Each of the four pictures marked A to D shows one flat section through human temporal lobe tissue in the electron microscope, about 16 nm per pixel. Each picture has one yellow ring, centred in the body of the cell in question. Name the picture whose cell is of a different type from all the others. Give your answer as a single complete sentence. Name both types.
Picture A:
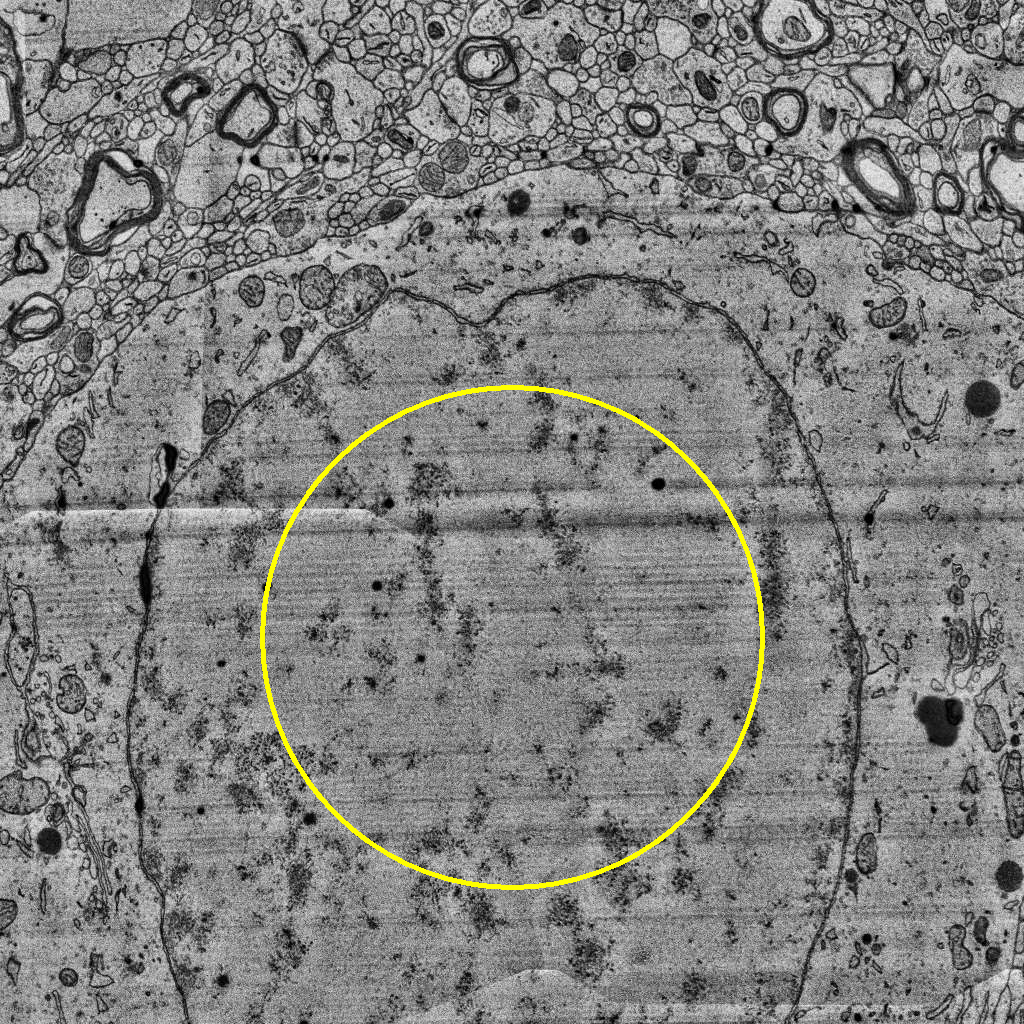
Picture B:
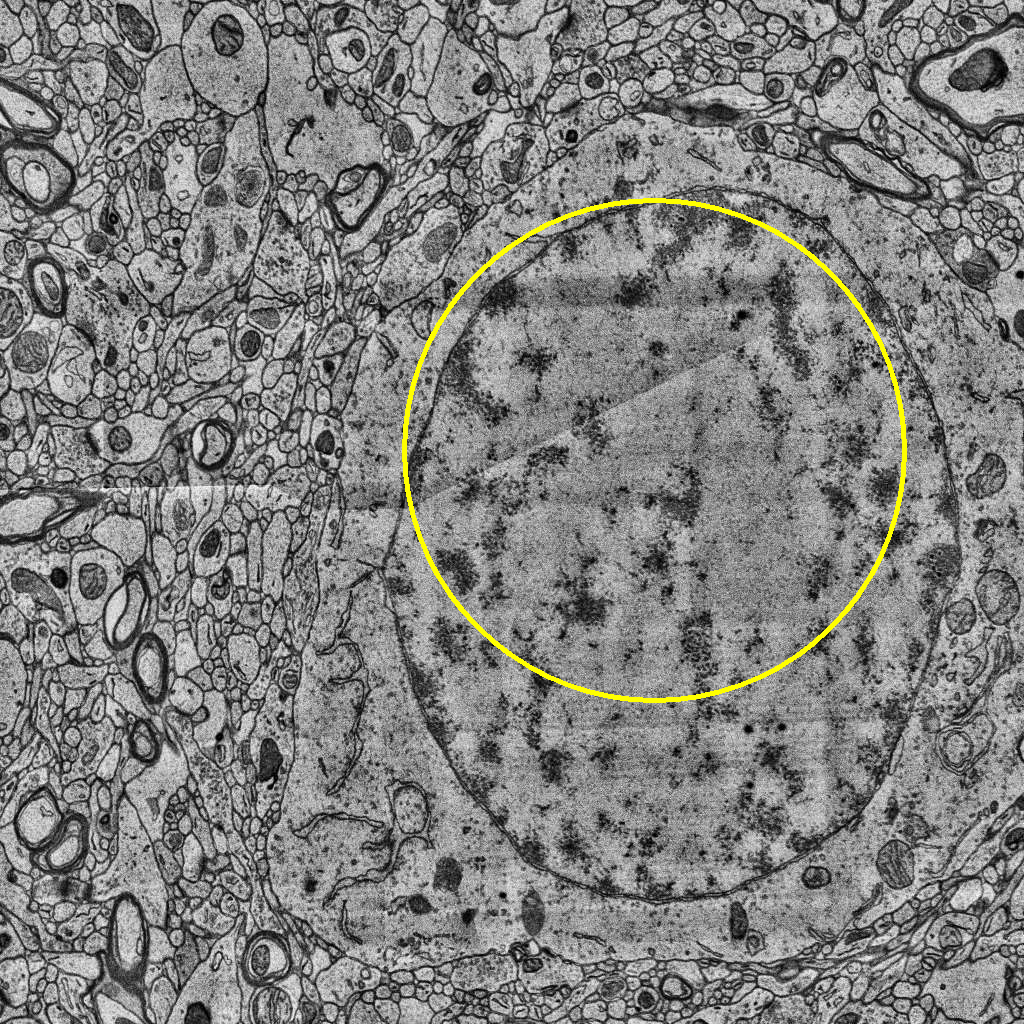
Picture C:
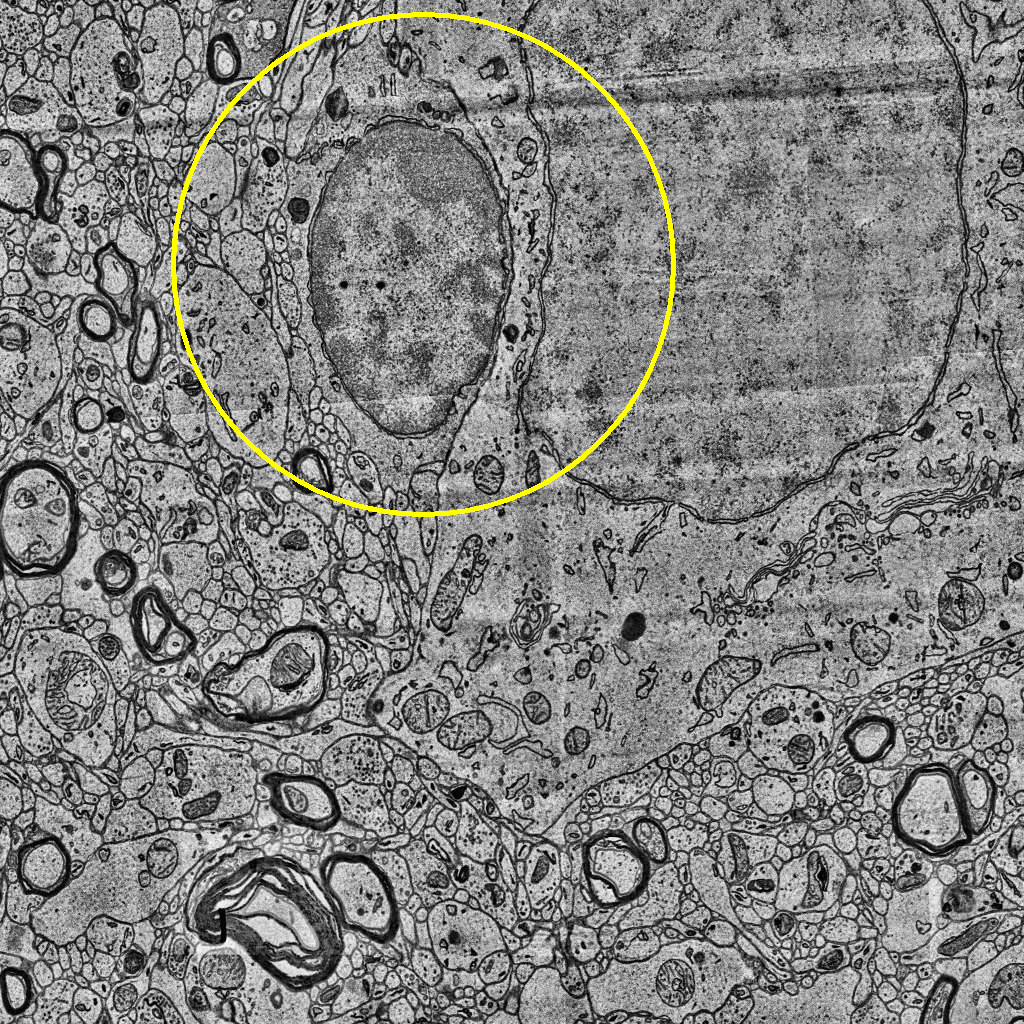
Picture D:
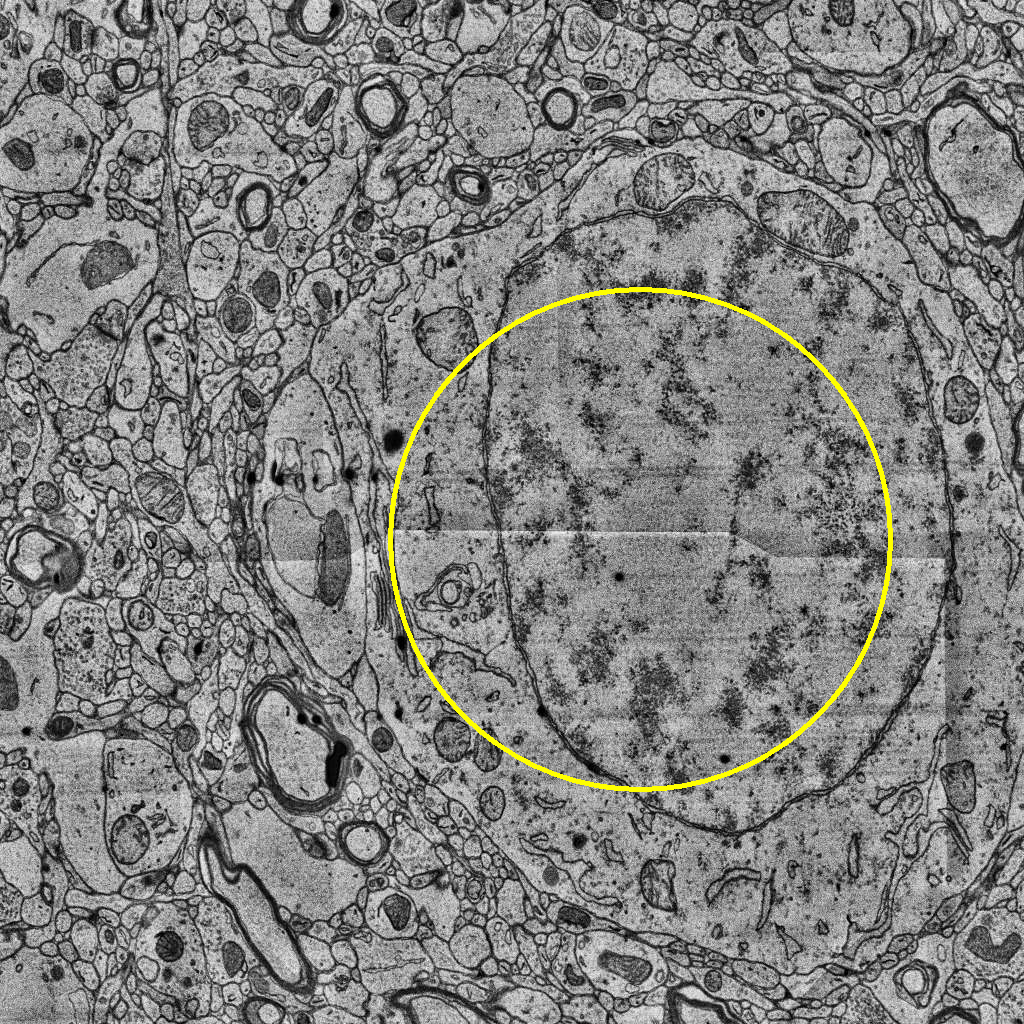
Picture C is the odd one out: it shows an oligodendrocyte, while the others show pyramidal neurons.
